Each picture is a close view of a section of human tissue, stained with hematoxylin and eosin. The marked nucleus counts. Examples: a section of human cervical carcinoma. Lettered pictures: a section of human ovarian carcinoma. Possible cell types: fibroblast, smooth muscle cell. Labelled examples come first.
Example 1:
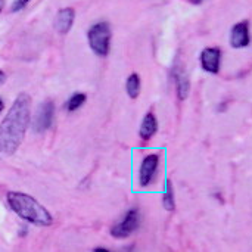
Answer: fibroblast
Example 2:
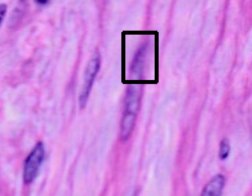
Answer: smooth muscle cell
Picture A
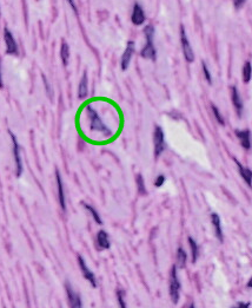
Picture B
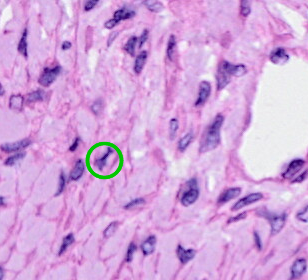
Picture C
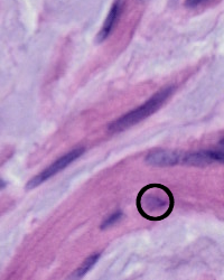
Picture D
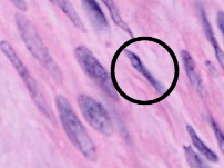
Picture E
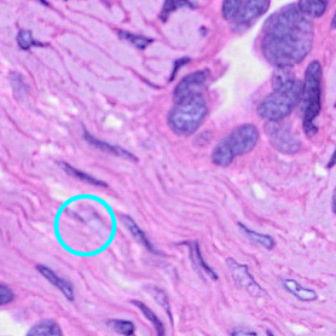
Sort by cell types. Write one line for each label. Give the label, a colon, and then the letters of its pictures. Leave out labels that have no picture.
fibroblast: A, B, E
smooth muscle cell: C, D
